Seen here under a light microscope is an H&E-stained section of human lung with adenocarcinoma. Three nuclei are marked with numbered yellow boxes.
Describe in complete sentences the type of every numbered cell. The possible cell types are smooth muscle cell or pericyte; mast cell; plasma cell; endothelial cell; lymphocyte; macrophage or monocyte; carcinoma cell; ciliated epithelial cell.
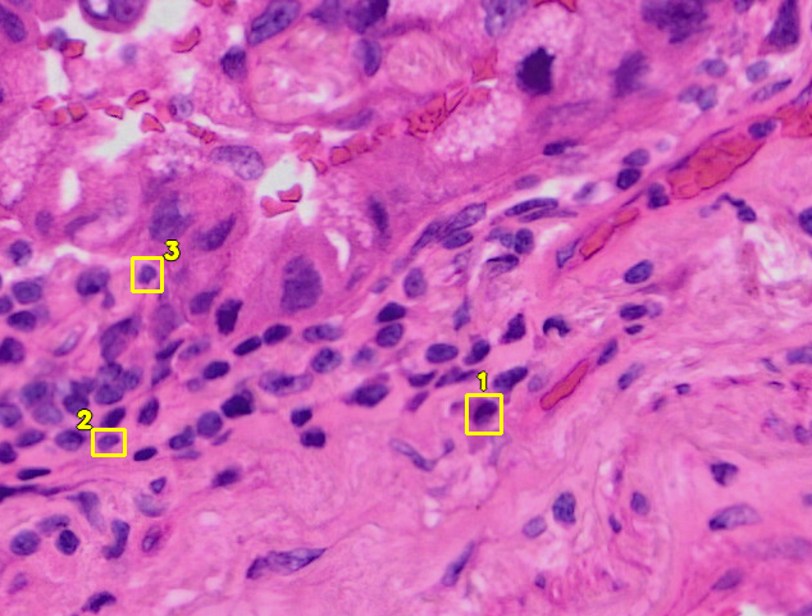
Cell 1 is a plasma cell. Cells 2 and 3 are lymphocytes.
